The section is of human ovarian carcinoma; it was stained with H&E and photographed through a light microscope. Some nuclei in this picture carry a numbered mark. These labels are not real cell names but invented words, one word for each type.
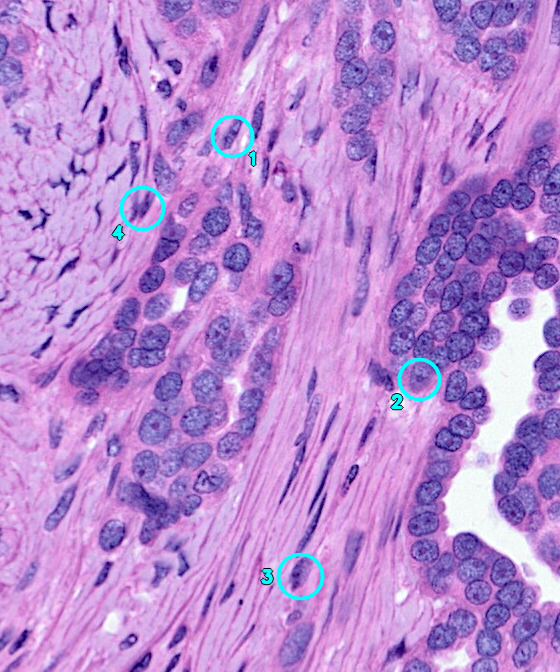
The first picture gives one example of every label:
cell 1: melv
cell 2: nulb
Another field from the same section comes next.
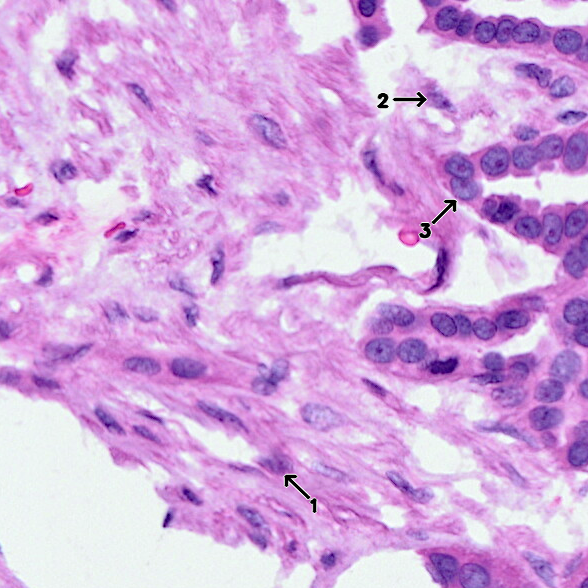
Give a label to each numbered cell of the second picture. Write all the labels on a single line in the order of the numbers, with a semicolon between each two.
melv; melv; nulb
